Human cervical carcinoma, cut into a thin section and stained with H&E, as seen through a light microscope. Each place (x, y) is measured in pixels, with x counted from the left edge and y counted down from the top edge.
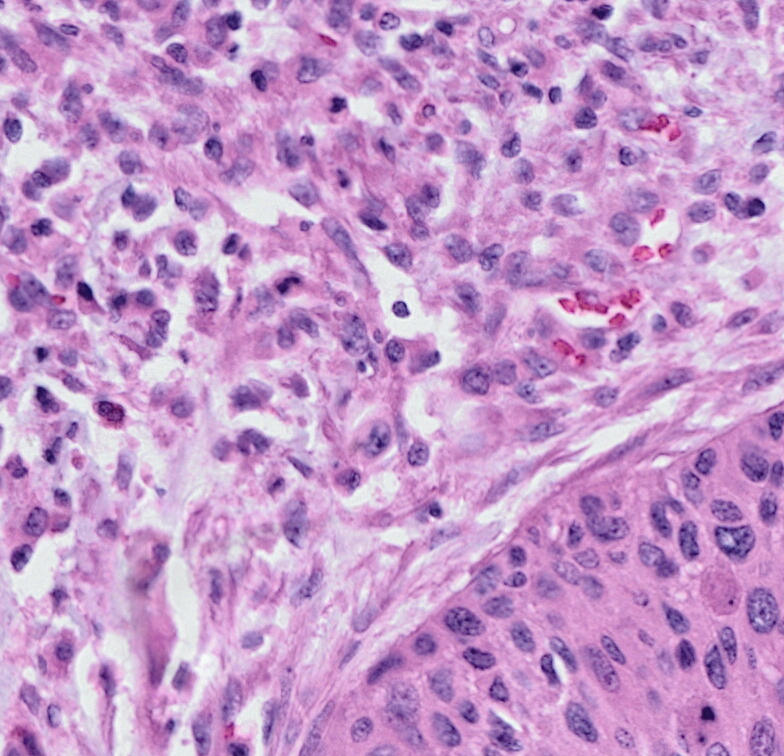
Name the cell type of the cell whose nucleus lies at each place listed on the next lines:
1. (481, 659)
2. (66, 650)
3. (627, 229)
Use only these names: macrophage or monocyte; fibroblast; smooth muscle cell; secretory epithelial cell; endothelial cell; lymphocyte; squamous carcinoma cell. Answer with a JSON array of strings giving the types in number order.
["squamous carcinoma cell", "macrophage or monocyte", "endothelial cell"]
